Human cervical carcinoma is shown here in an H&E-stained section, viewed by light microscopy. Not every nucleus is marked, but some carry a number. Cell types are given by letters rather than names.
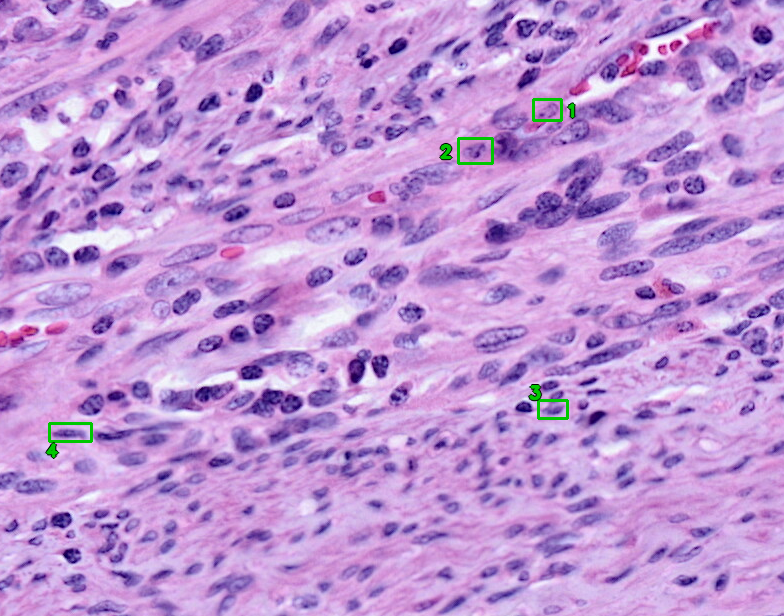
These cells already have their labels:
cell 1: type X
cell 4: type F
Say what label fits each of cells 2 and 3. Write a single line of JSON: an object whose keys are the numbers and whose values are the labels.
{"2": "type X", "3": "type F"}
